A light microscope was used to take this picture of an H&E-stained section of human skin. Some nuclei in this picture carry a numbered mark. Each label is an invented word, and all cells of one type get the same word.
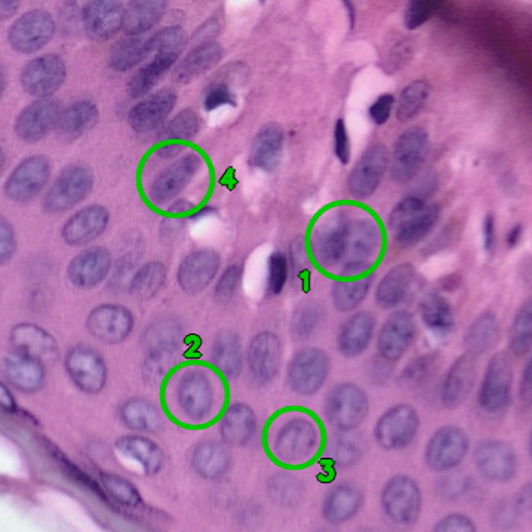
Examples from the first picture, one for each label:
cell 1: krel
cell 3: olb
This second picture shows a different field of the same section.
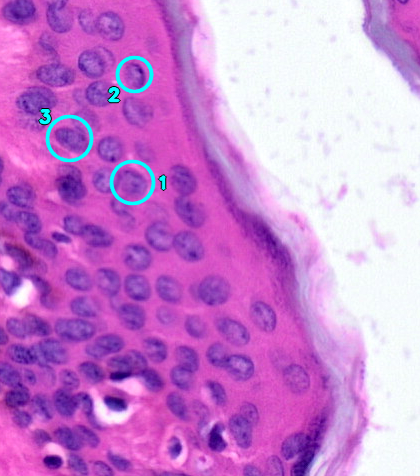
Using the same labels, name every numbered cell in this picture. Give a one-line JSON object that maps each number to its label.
{"1": "olb", "2": "olb", "3": "krel"}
